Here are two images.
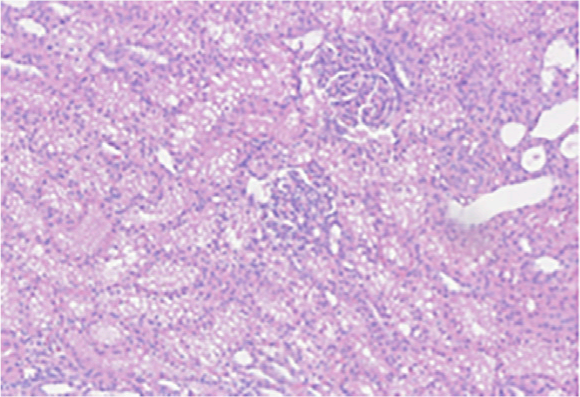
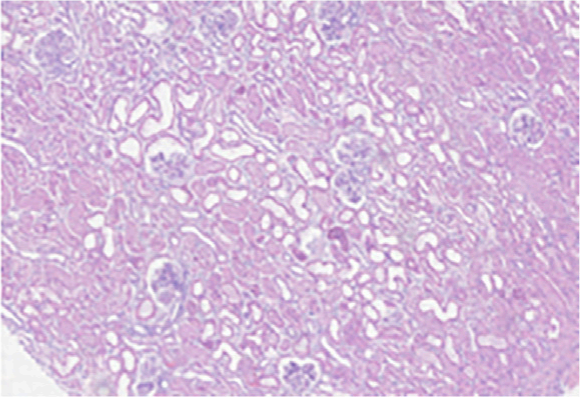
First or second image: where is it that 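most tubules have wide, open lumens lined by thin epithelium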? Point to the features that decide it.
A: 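First image: most tubules have narrow lumens filled by tall pink epithelium, with only a few open spaces at one side. Second image: numerous tubules have widened, empty lumens with flattened lining cells. On this evidence: the second image.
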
